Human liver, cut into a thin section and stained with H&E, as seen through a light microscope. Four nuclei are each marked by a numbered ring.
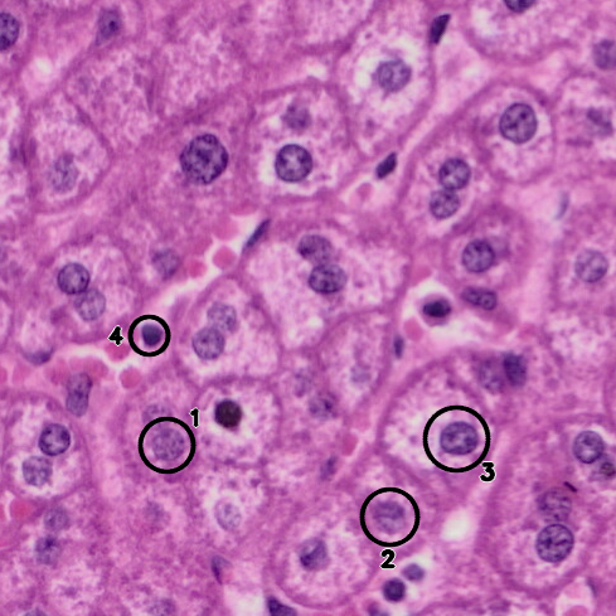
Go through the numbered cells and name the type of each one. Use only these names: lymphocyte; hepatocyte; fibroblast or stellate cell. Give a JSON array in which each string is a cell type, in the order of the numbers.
["hepatocyte", "hepatocyte", "hepatocyte", "lymphocyte"]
